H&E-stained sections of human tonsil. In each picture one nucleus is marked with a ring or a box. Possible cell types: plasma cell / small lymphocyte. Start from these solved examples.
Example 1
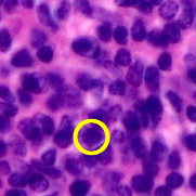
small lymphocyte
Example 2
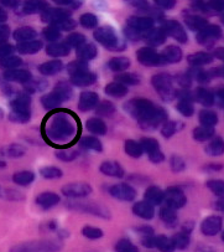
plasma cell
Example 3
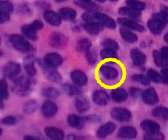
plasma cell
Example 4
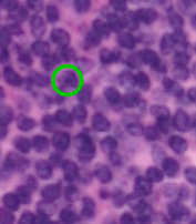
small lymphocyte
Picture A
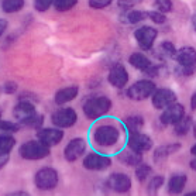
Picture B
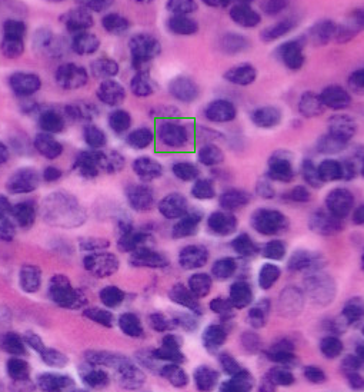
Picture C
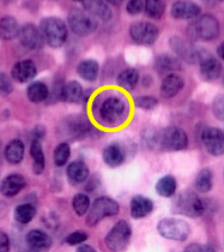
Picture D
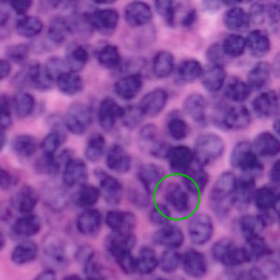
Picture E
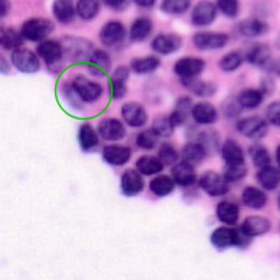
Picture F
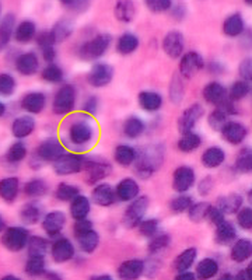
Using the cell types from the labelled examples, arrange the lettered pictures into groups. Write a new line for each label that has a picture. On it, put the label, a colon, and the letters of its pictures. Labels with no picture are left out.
plasma cell: A, B, C
small lymphocyte: D, E, F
